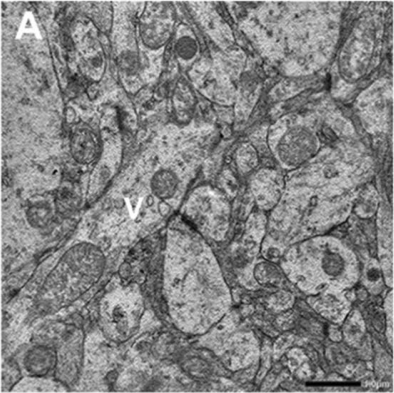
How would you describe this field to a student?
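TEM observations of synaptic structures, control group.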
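This electron micrograph shows neuropil made up of many rounded profiles of nerve terminals and dendrites separated by thin membranes. Many profiles contain small mitochondria with dense matrix and visible inner folds, which look intact. An elongated process running diagonally through the field carries fine longitudinal tubules.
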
